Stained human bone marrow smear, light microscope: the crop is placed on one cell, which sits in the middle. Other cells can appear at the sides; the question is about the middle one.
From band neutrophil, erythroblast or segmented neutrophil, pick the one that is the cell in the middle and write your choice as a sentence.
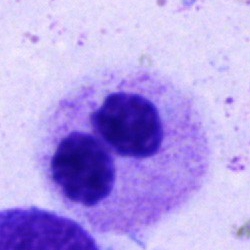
What sits at the centre of this crop is a segmented neutrophil.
